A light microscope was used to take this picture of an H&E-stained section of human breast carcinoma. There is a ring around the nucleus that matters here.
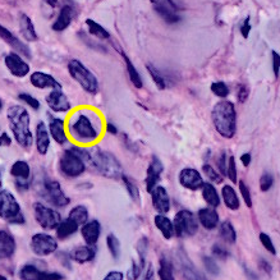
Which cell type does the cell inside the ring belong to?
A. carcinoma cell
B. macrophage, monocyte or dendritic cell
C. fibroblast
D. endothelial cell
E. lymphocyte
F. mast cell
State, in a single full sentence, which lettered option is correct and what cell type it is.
In this section the cell inside the ring is a lymphocyte; option E is therefore correct.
